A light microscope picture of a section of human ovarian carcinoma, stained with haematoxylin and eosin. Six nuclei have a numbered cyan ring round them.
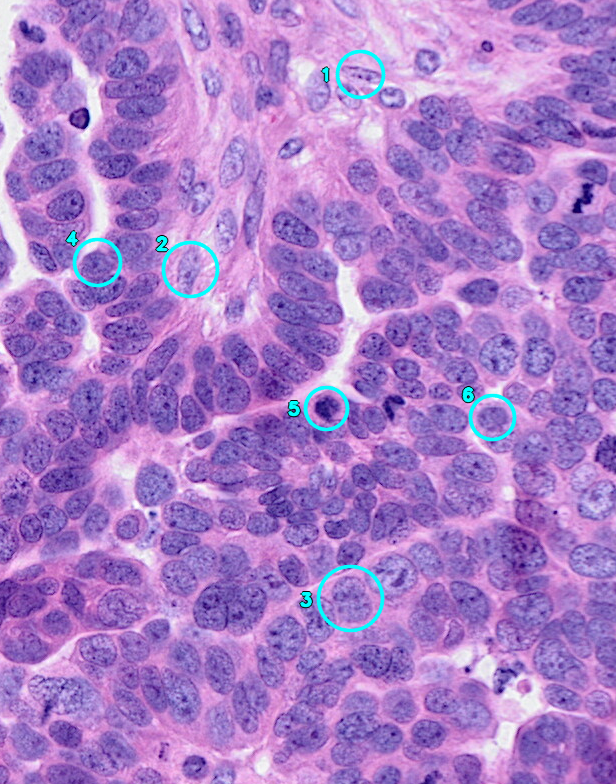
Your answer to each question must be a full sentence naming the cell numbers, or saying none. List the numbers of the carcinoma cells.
The cells assigned the numbers 3, 4, 5 and 6 are carcinoma cells.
